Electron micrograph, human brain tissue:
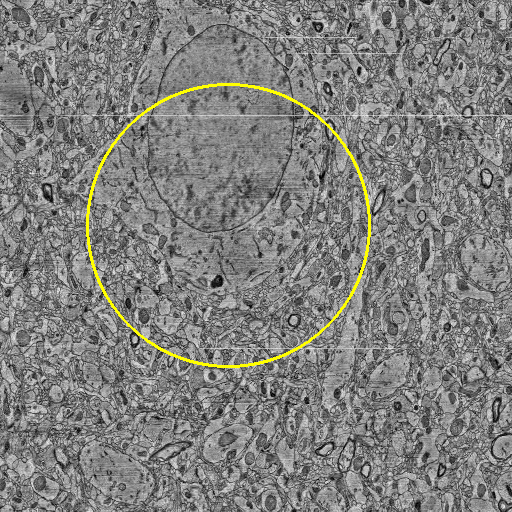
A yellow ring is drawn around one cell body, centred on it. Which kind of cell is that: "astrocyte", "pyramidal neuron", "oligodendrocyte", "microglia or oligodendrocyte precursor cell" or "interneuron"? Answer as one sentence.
It is a pyramidal neuron at the centre of the ring.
